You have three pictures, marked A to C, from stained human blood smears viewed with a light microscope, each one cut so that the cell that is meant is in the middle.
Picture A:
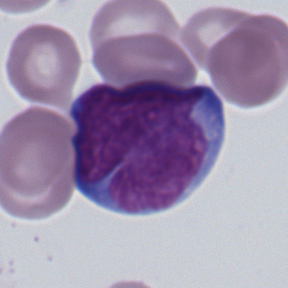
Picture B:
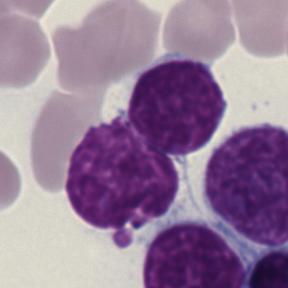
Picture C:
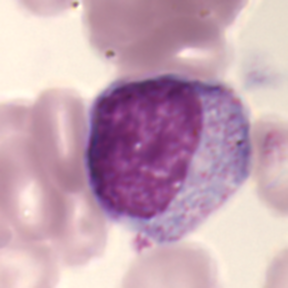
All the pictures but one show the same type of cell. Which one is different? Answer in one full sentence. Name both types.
Unlike the rest, which show myeloblasts, picture C shows a promyelocyte.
